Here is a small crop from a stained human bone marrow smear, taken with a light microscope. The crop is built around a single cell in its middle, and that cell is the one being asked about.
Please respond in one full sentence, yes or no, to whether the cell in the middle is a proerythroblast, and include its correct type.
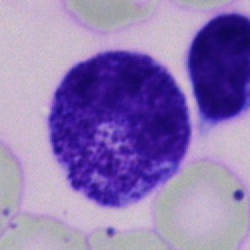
No, the cell sitting in the middle is a promyelocyte, and it is not a proerythroblast.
